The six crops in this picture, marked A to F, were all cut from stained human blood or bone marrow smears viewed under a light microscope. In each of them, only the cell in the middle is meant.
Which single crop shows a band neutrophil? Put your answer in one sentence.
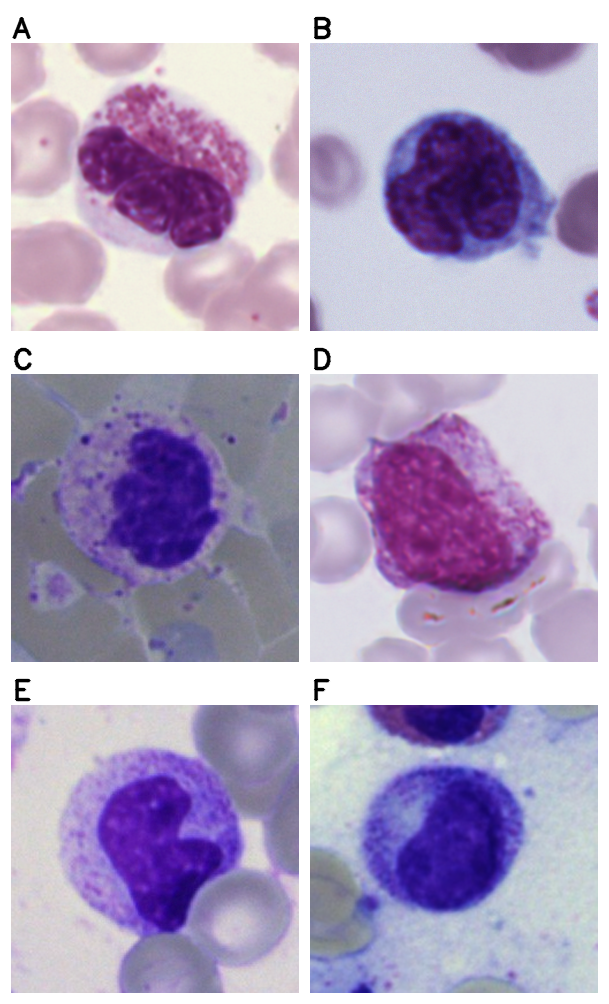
It is in crop E that a band neutrophil is shown.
